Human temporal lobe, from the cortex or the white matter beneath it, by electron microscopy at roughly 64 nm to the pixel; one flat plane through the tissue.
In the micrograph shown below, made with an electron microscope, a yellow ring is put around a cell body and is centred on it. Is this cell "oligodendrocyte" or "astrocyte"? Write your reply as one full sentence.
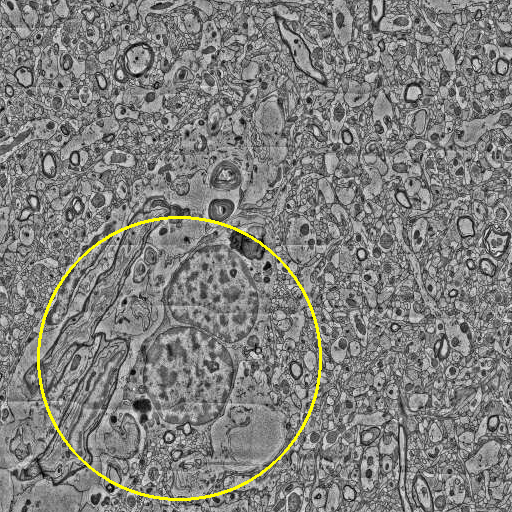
In the micrograph, an oligodendrocyte is the cell at the centre of the yellow ring.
